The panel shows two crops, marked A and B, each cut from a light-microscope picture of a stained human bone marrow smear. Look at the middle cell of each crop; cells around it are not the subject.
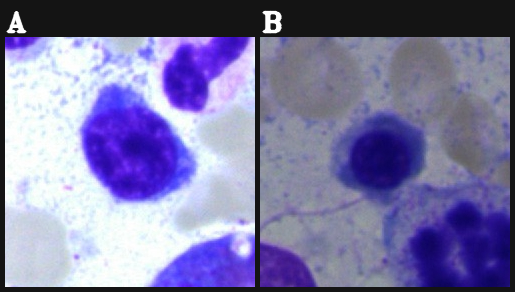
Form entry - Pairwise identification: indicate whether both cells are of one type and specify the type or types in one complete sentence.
No, mark crop A as a lymphocyte and crop B as an erythroblast.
